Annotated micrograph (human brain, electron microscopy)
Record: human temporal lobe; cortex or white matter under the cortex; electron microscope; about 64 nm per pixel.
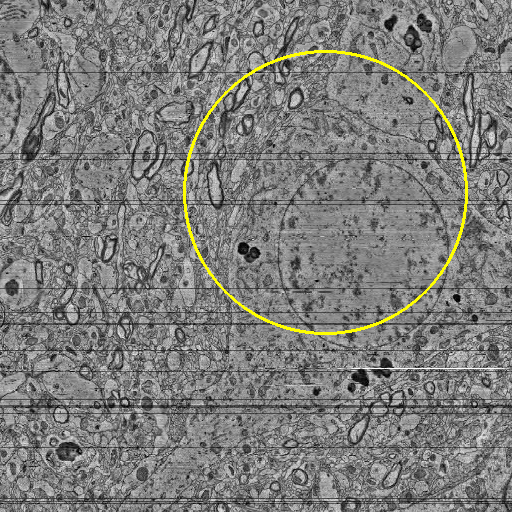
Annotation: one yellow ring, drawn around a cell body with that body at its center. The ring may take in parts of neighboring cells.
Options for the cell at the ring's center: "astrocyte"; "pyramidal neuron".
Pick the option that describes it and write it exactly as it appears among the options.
pyramidal neuron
